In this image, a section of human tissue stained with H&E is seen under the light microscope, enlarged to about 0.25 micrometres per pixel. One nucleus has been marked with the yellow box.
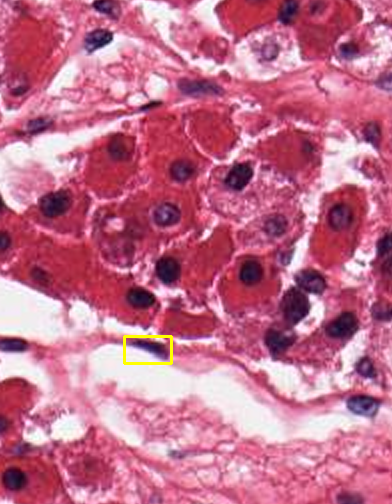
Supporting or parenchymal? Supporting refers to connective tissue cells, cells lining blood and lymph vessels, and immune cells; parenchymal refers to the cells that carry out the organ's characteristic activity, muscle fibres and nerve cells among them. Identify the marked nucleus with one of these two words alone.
supporting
